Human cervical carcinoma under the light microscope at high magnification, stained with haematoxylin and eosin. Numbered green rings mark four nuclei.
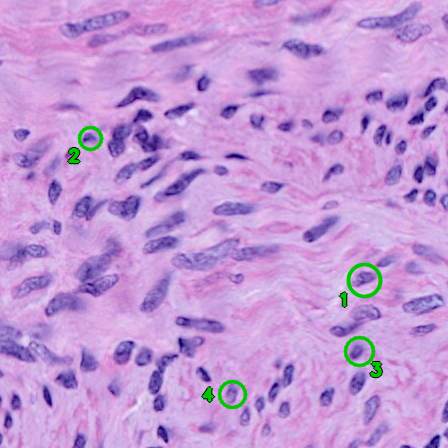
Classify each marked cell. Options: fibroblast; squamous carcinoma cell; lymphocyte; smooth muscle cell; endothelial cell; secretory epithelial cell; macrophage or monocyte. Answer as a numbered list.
1. smooth muscle cell
2. fibroblast
3. smooth muscle cell
4. smooth muscle cell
